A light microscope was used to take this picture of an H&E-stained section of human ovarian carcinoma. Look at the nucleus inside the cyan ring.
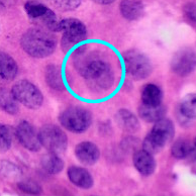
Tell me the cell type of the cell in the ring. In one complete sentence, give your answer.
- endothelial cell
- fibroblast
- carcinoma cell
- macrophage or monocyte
Right, so the cell in the ring is a carcinoma cell, to answer that.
